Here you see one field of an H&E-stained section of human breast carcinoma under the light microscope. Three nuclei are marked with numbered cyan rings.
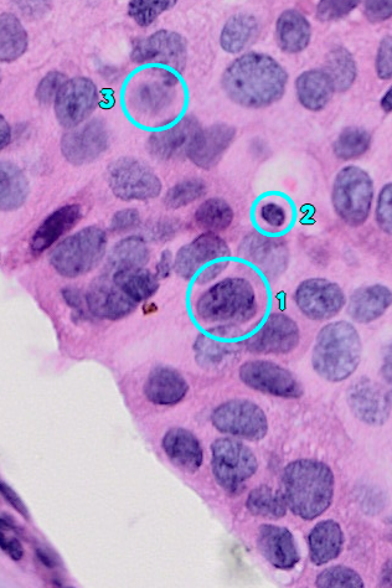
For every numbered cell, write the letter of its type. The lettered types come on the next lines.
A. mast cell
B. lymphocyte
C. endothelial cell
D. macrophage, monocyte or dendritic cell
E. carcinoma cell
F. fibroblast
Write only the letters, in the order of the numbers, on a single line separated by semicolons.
E; B; E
